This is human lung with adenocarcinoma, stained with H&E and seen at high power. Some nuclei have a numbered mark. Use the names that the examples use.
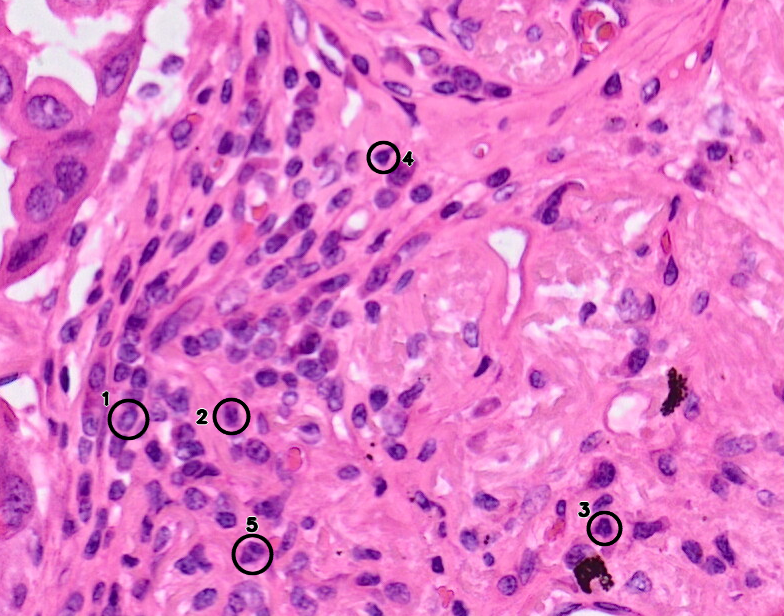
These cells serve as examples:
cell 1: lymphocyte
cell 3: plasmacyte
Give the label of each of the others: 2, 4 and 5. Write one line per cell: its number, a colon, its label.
2: plasmacyte
4: lymphocyte
5: plasmacyte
